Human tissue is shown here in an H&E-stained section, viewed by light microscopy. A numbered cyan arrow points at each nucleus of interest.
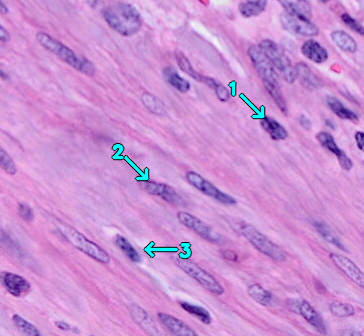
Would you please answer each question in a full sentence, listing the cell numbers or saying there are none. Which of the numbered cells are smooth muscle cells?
Only cell 2 qualifies as a smooth muscle cell among the numbered cells.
